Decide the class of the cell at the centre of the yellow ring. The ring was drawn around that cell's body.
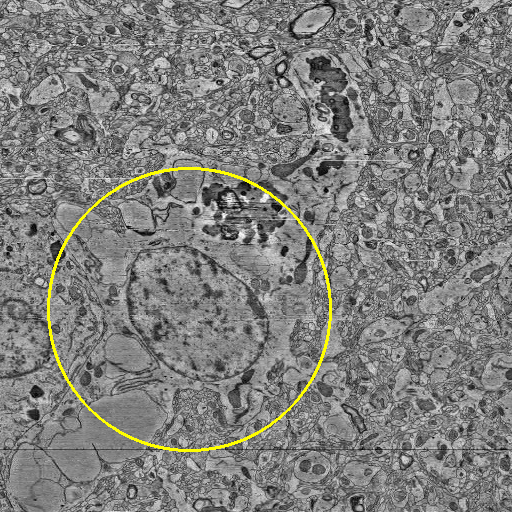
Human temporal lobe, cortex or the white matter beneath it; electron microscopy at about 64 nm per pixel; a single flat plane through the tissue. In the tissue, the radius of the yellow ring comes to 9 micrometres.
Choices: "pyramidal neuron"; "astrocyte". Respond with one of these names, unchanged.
astrocyte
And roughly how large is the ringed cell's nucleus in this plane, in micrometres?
The nucleus is approximately 10 micrometers long by 7 micrometers wide in this plane.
